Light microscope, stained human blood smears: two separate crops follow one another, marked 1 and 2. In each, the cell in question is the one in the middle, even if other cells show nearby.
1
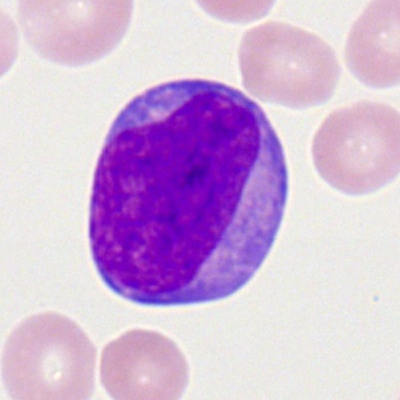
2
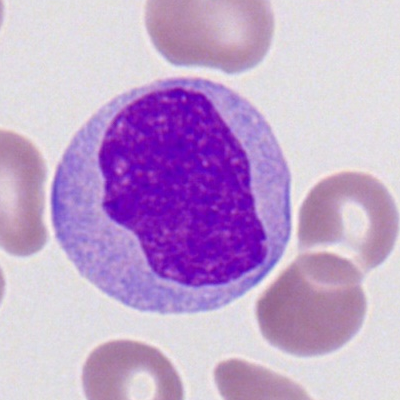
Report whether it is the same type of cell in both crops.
yes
